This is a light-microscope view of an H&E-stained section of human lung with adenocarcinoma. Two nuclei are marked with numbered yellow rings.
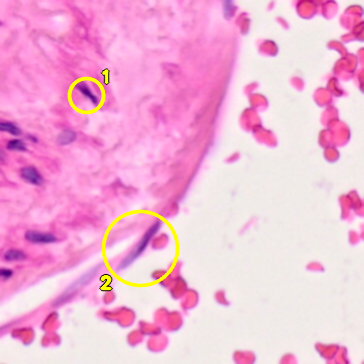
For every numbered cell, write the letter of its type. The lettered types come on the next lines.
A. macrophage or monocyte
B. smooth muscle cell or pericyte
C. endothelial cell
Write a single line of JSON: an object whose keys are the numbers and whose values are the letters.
{"1": "B", "2": "C"}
